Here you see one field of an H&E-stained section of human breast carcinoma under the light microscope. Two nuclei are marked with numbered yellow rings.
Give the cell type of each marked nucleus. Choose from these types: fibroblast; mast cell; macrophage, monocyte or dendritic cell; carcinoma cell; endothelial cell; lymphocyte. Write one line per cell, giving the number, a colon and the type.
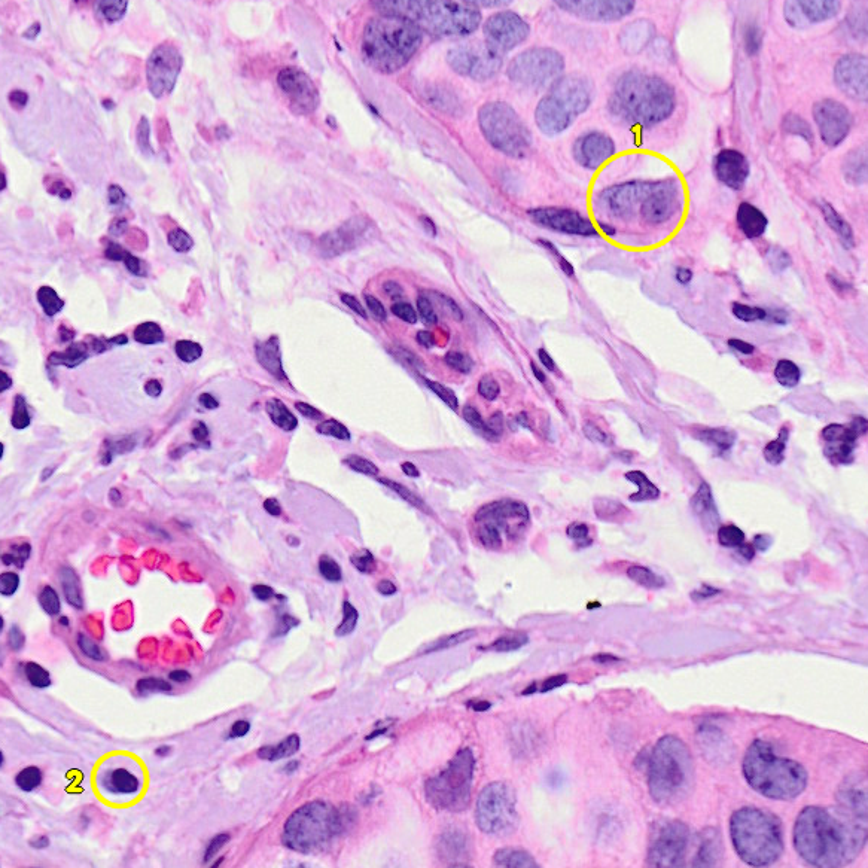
1: carcinoma cell
2: lymphocyte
